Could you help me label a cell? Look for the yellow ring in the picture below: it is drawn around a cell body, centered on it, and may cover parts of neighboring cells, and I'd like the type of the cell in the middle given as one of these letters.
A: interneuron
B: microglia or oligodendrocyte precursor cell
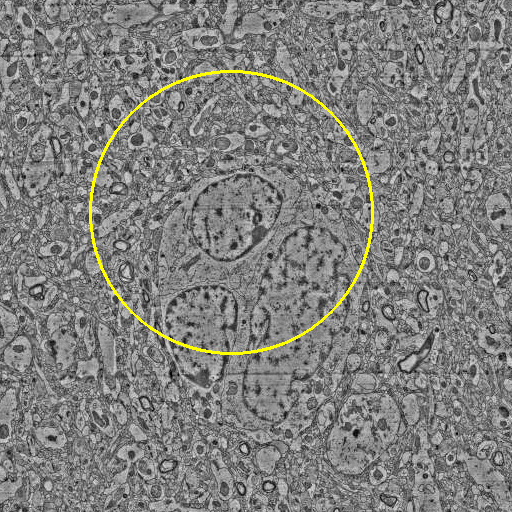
B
